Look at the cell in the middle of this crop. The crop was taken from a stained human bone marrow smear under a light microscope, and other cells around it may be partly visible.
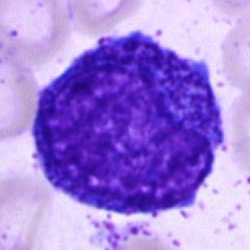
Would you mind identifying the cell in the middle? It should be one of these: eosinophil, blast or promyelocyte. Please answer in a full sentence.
Positioned in the middle of the crop is a promyelocyte.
